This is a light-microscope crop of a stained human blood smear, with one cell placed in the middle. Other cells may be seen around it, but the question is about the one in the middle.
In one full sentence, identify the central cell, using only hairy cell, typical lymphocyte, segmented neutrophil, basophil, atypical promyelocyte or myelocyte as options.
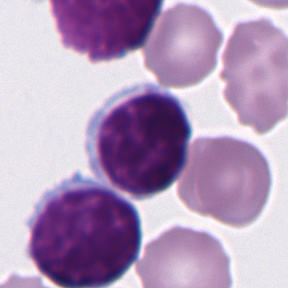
In this smear crop, the middle cell is a typical lymphocyte.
